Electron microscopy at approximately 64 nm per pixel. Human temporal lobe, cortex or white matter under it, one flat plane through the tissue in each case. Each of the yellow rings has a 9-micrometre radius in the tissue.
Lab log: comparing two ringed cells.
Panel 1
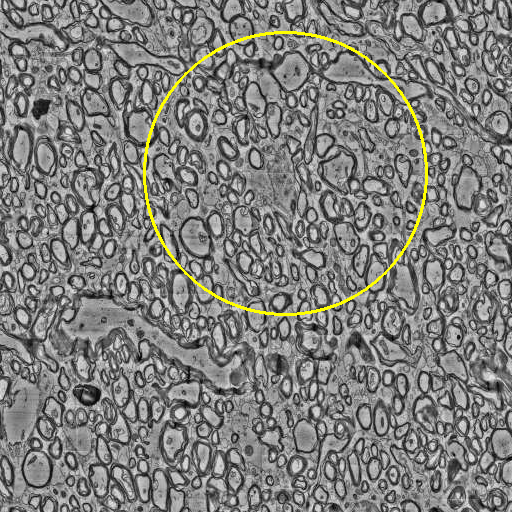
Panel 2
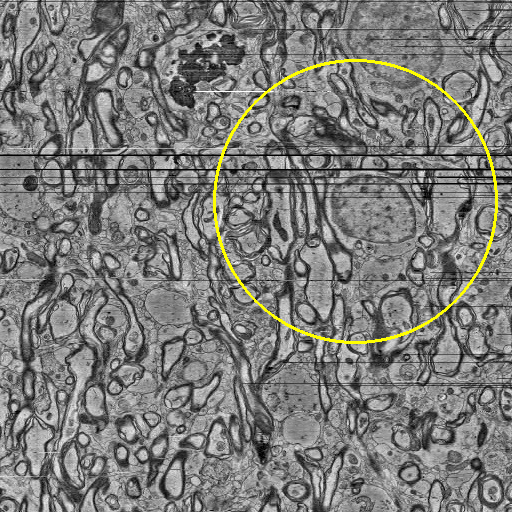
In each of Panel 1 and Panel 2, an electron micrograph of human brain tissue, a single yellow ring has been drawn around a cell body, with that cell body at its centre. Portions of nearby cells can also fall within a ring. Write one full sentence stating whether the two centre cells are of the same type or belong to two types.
The cells at the ring centres in Panel 1 and Panel 2 belong to two types.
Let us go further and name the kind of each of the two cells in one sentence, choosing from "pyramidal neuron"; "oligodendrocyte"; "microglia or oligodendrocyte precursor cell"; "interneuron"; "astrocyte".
The ring of the first picture is on an oligodendrocyte, the ring of the second on a microglial cell or oligodendrocyte precursor cell.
